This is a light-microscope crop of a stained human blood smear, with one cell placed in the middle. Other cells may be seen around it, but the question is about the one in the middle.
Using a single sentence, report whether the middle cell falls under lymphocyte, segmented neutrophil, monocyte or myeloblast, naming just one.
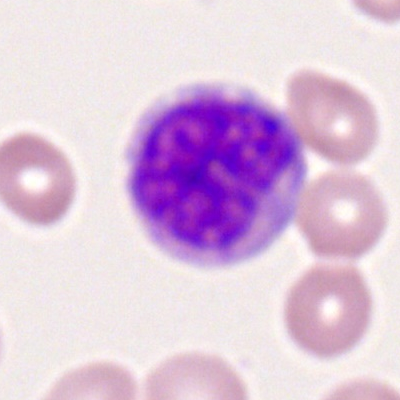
To answer, the cell in the center of the crop is a monocyte.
